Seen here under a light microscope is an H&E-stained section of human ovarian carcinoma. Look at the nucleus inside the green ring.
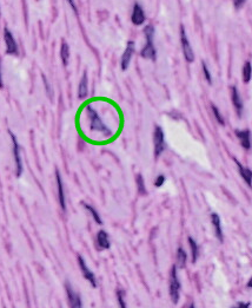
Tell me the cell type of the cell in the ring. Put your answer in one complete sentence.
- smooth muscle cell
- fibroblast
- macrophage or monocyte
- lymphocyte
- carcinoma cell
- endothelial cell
The cell meant here is a fibroblast.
